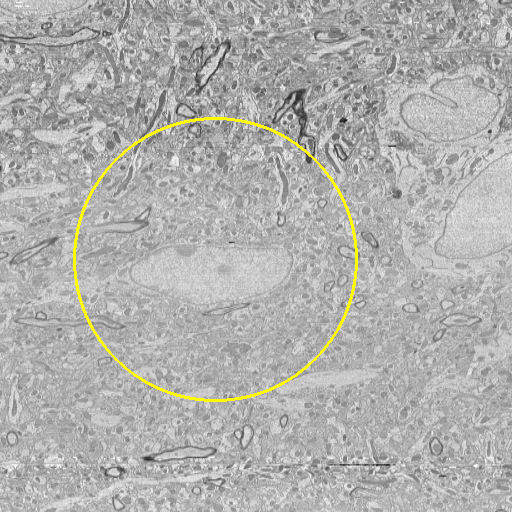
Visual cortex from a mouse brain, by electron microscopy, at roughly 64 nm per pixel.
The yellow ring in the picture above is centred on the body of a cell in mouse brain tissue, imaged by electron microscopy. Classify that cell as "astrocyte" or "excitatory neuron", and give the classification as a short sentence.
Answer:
The cell in the middle of the ring is an astrocyte.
